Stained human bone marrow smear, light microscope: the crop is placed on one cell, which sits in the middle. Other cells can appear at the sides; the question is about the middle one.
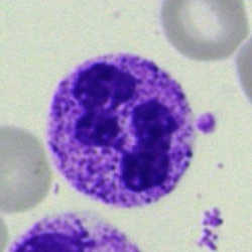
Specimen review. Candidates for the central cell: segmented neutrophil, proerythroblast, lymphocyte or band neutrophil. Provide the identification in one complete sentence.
The cell at the centre of the field is a segmented neutrophil.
